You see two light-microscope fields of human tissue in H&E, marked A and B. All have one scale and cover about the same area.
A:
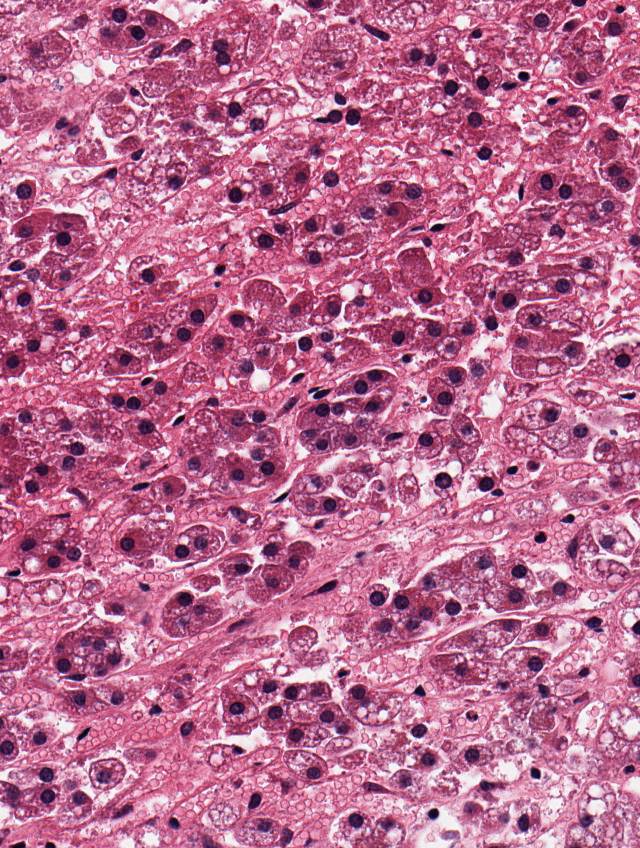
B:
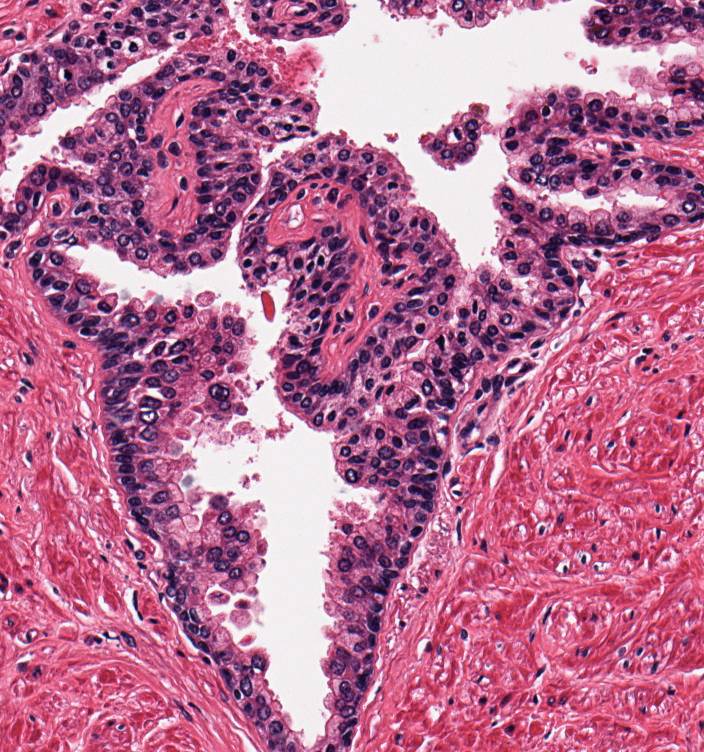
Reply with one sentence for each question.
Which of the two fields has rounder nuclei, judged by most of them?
The nuclei are rounder in field A.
